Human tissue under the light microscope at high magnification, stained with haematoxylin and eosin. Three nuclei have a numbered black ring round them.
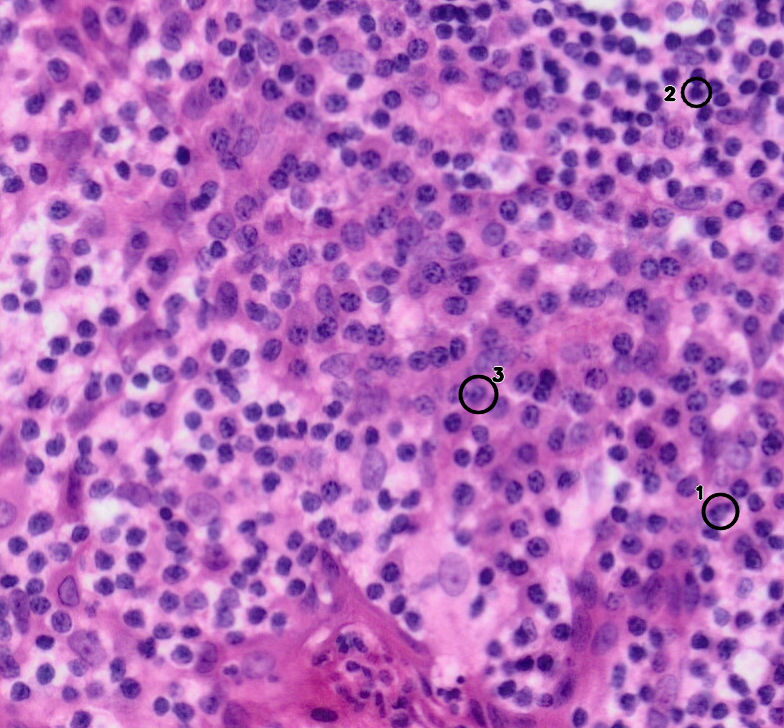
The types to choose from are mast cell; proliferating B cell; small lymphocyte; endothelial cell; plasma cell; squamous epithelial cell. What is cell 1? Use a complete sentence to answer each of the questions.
Cell number 1 in this section is a plasma cell.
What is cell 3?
Corresponding to a plasma cell is the cell labelled 3.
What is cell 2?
The cell identified by the number 2 is a small lymphocyte.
